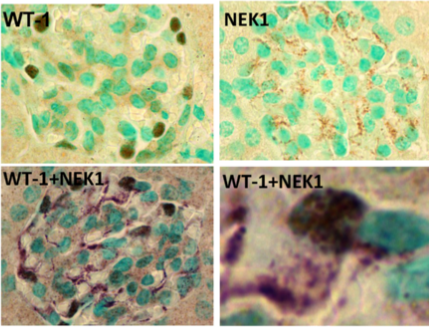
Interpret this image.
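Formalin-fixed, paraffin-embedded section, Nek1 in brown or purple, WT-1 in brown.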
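Glomerular epithelial cells seen at high magnification, with closely packed round to oval blue-green nuclei. Some nuclei are dark brown, while fine brown or purple granular and streaky deposits lie in the cytoplasm between the nuclei. In the combined images purple cytoplasmic stain sits right beside cells whose nuclei are brown.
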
